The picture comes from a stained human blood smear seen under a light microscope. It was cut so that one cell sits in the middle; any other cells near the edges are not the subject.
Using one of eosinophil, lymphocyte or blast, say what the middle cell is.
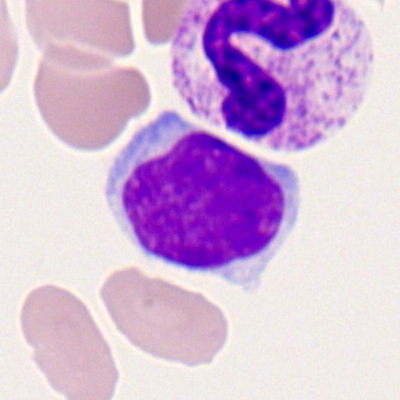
lymphocyte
